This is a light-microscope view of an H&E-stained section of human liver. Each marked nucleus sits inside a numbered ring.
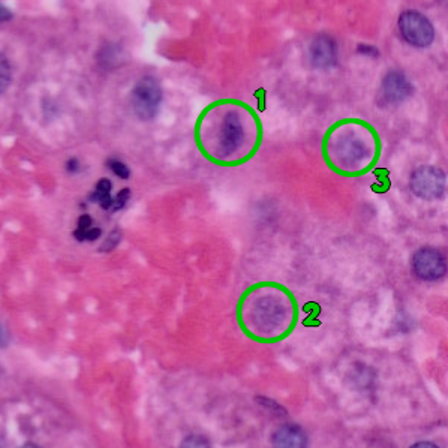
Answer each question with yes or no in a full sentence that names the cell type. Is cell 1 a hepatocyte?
No, cell 1 is correctly identified as a fibroblast or stellate cell and not as a hepatocyte.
